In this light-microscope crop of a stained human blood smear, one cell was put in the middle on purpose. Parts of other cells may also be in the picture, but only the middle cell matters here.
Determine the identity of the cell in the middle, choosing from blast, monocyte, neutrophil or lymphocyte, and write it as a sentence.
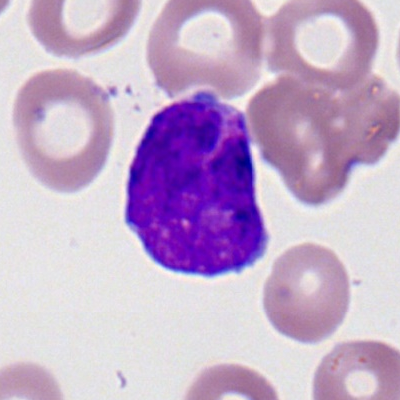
The centrally located cell in the crop is a blast.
